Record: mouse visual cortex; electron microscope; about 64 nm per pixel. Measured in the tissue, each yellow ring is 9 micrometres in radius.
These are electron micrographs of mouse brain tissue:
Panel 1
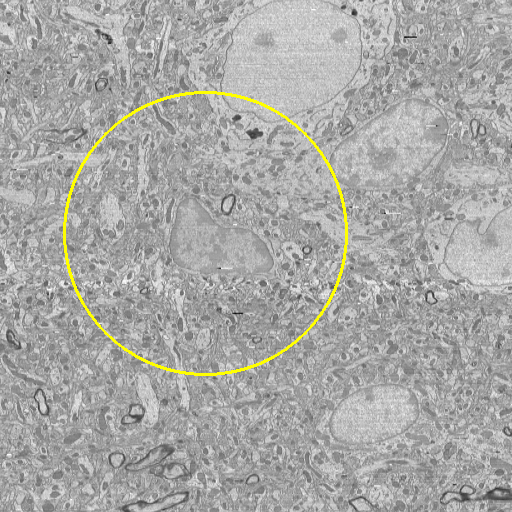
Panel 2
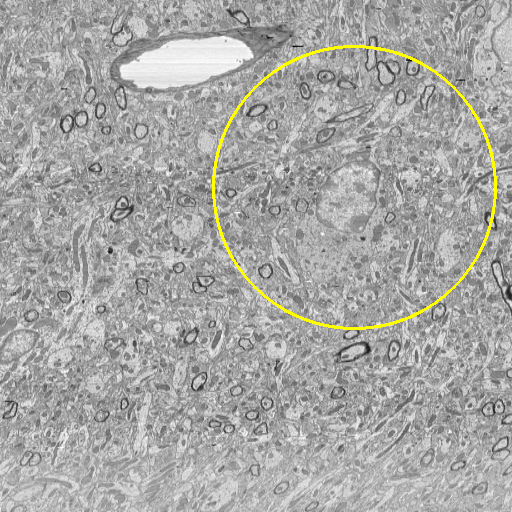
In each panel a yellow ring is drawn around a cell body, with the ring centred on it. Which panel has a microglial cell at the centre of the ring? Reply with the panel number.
1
